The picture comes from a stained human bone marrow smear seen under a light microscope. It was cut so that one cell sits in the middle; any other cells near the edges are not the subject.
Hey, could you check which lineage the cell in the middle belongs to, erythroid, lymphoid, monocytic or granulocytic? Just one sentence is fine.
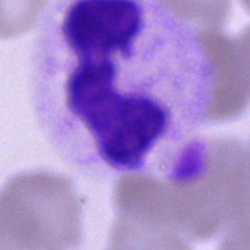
In the crop, the cell at the center is of granulocytic lineage.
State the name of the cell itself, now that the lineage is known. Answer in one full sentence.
The central cell in this smear crop is a segmented neutrophil.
